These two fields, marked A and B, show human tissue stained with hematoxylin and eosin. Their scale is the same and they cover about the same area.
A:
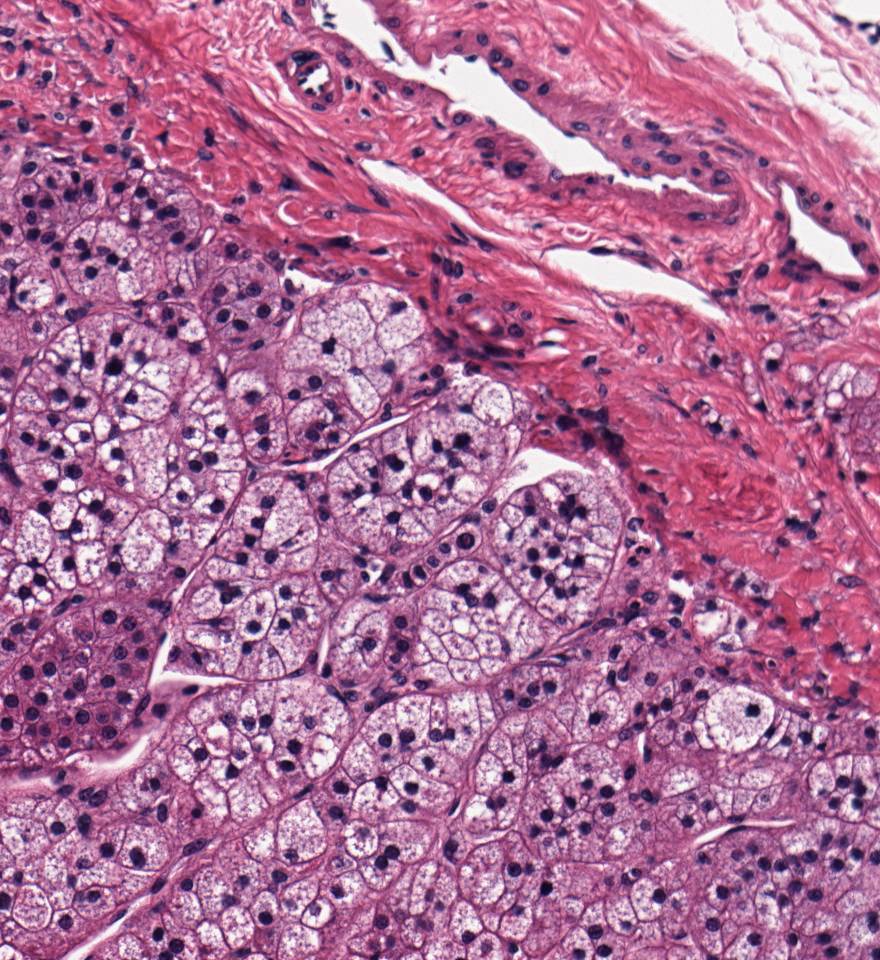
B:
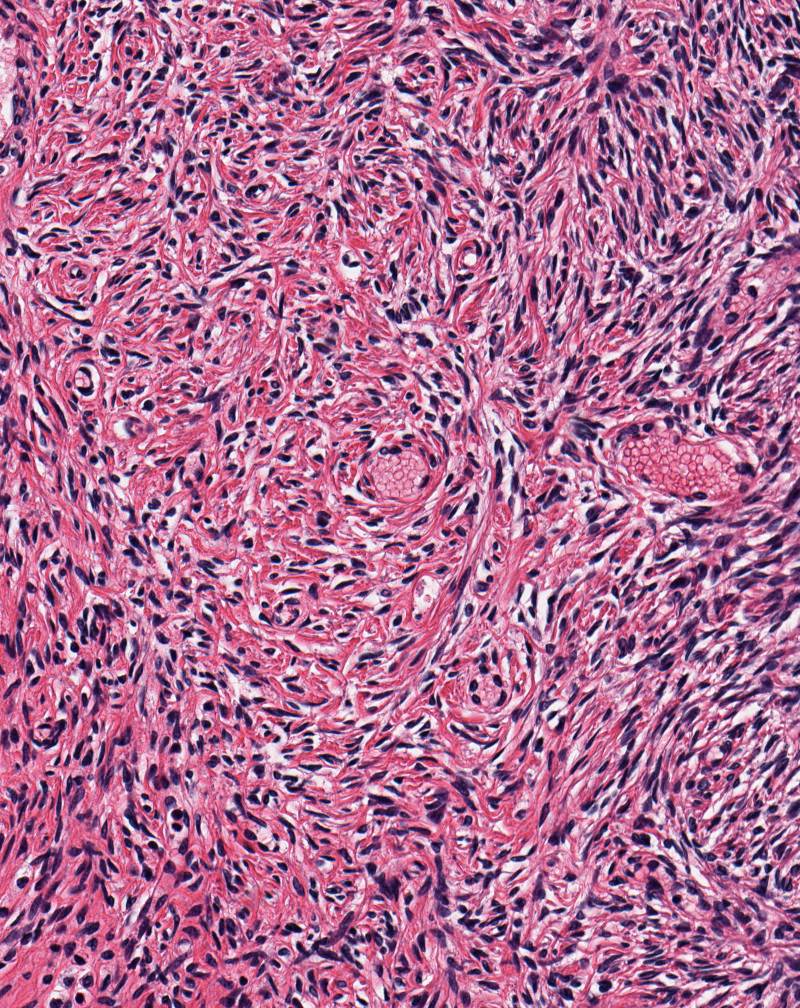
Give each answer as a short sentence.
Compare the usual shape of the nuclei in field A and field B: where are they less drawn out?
On the whole the nuclei of field A are rounder than those of field B.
